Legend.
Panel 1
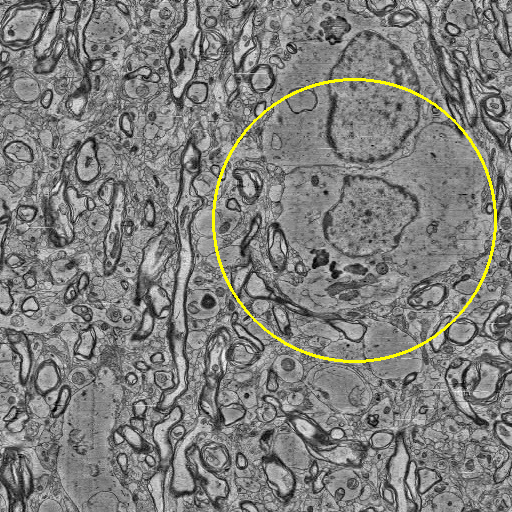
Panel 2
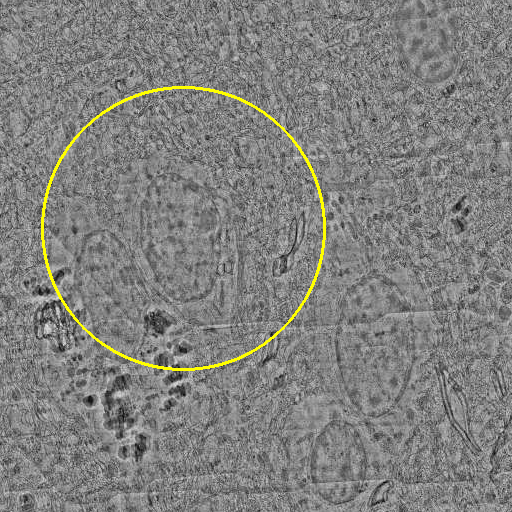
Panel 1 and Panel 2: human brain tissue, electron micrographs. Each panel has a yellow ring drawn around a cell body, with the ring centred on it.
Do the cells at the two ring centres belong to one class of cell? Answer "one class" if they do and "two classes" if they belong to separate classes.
one class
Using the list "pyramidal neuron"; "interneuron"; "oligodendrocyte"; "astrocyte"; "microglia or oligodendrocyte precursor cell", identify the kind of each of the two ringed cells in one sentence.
The second cell is an astrocyte, just as the first is.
